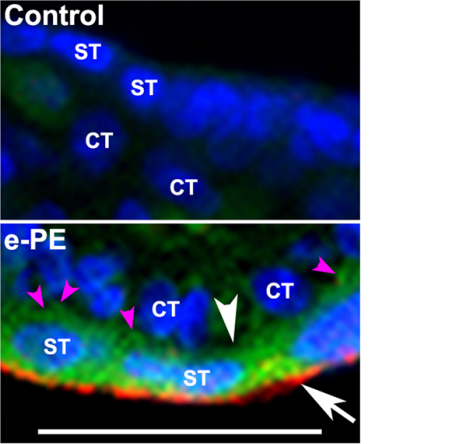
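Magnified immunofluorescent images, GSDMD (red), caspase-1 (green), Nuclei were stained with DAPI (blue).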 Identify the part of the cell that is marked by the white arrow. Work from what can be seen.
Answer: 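Apical surface. The white arrow points to the outer edge of the lower cell layer. A thin red band lines this outer edge. The edge borders the dark space outside the layer.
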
